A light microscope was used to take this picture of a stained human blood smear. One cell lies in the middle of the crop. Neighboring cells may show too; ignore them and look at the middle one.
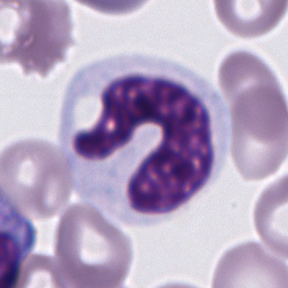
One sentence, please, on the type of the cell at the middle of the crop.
By classification, the middle cell of this crop is a band neutrophil.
